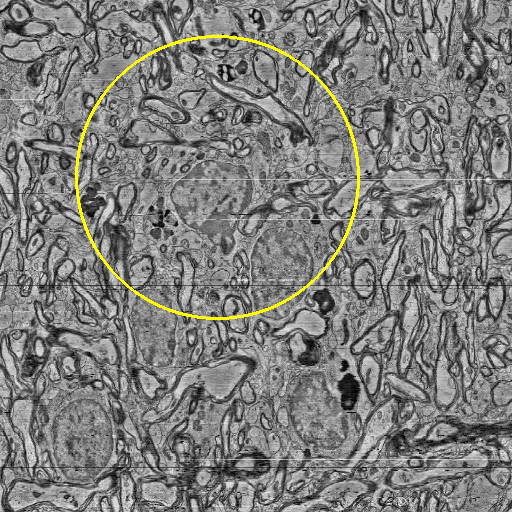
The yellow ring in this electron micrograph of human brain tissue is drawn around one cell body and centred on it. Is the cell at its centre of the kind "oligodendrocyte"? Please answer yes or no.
no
